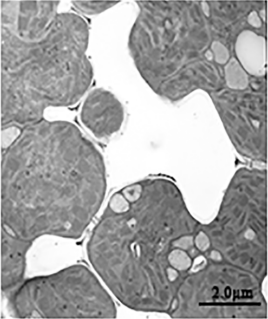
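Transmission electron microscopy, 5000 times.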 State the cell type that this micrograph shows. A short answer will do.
Mesophyll cells.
